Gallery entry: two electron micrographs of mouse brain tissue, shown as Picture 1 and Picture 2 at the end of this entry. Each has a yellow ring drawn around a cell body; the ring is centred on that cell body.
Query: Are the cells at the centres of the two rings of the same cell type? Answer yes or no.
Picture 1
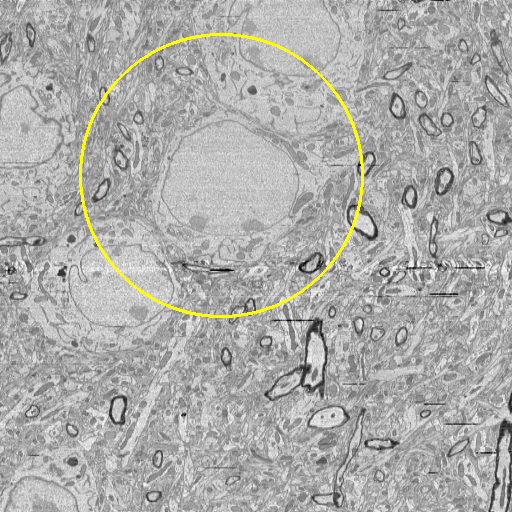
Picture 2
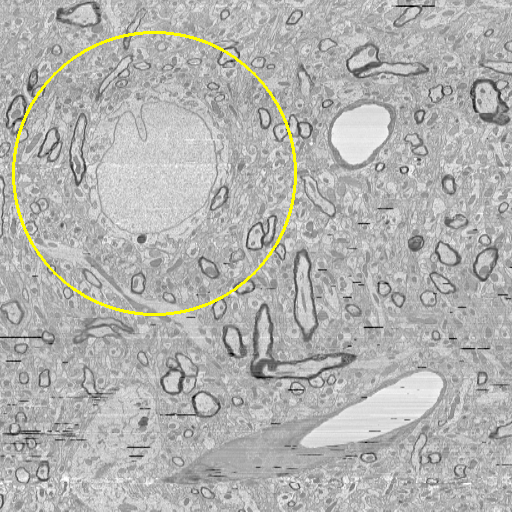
yes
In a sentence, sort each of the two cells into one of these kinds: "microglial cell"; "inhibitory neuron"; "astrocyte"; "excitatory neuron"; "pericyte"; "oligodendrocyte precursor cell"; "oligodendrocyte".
The ring centre holds an excitatory neuron in each of the two pictures.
